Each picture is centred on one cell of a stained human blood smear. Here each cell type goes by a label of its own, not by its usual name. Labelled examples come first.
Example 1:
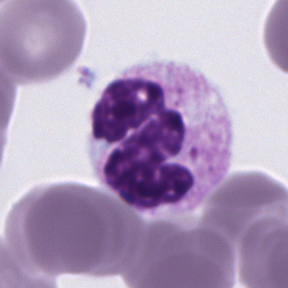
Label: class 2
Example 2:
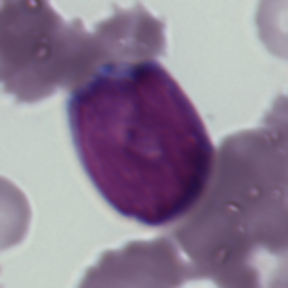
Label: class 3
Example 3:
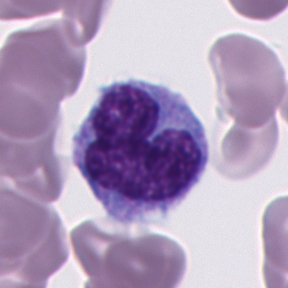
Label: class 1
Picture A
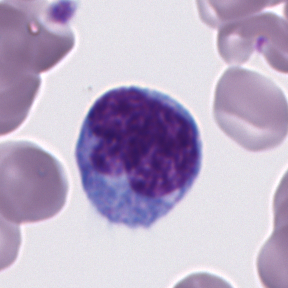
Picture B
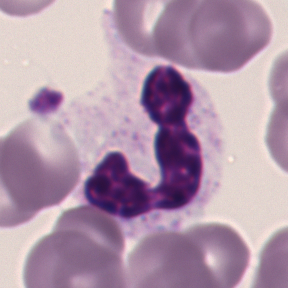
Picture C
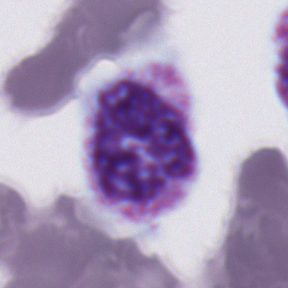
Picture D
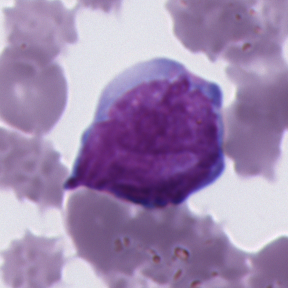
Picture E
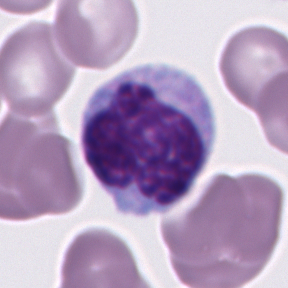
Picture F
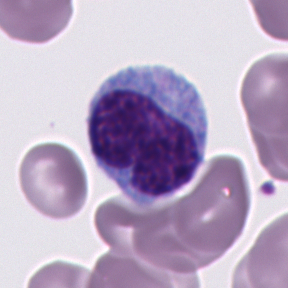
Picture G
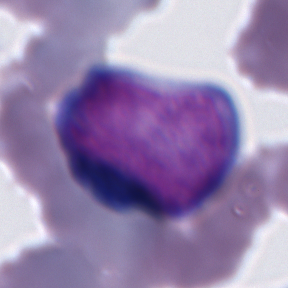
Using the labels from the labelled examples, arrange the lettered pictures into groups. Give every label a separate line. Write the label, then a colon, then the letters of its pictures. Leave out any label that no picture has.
class 2: B, C
class 3: D, G
class 1: A, E, F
